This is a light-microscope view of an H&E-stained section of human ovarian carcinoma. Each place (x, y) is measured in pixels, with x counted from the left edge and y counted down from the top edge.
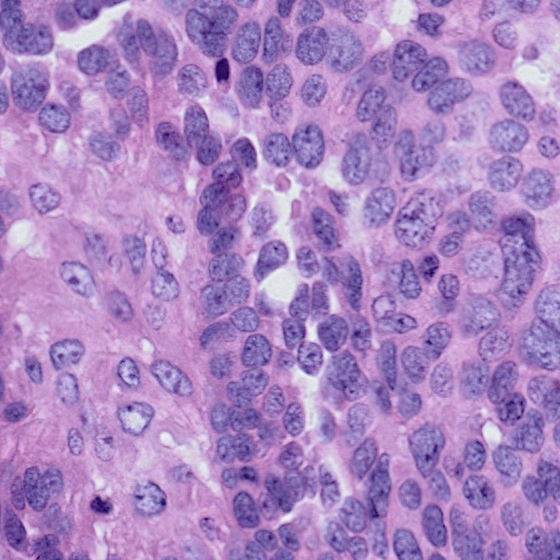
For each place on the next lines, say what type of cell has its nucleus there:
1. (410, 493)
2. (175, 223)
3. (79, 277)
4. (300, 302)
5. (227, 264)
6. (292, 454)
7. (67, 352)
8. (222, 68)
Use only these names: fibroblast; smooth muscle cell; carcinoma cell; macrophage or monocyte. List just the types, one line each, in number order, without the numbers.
carcinoma cell
macrophage or monocyte
fibroblast
carcinoma cell
carcinoma cell
carcinoma cell
fibroblast
carcinoma cell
